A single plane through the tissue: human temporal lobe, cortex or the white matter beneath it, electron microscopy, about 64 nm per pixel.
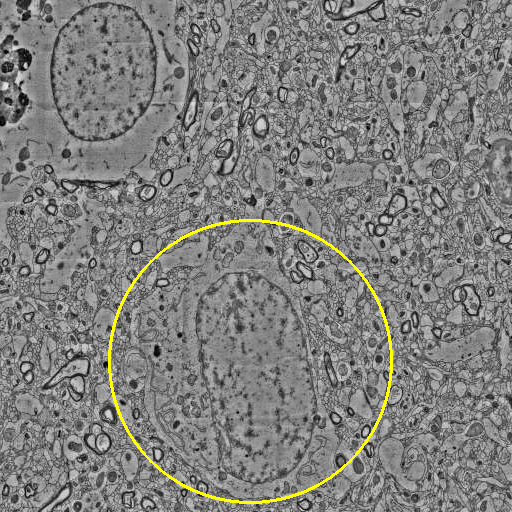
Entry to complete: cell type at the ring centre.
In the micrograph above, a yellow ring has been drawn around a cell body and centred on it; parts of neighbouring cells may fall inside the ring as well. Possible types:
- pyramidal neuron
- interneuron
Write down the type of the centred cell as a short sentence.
The ring is centred on an interneuron.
